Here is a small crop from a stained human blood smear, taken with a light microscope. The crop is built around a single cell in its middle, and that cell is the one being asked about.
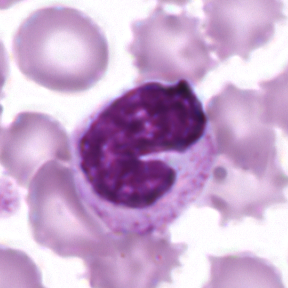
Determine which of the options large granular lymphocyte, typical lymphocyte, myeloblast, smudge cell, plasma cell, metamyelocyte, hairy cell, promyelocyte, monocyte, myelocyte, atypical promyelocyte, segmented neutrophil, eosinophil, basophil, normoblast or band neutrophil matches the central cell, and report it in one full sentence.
The middle cell in this particular crop is a band neutrophil.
